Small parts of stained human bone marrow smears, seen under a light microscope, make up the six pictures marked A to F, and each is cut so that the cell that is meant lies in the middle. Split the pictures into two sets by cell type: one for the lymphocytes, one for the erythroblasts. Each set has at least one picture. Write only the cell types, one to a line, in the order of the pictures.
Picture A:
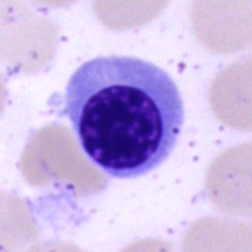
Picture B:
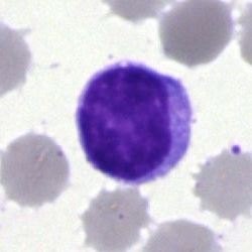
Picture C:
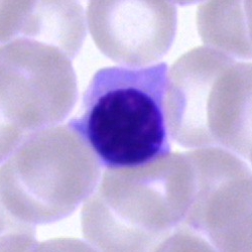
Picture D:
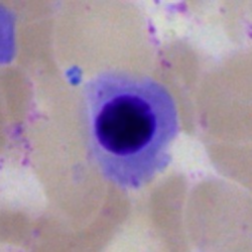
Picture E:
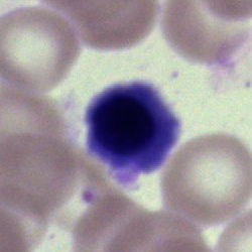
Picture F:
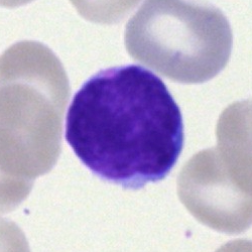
erythroblast
lymphocyte
erythroblast
erythroblast
erythroblast
lymphocyte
